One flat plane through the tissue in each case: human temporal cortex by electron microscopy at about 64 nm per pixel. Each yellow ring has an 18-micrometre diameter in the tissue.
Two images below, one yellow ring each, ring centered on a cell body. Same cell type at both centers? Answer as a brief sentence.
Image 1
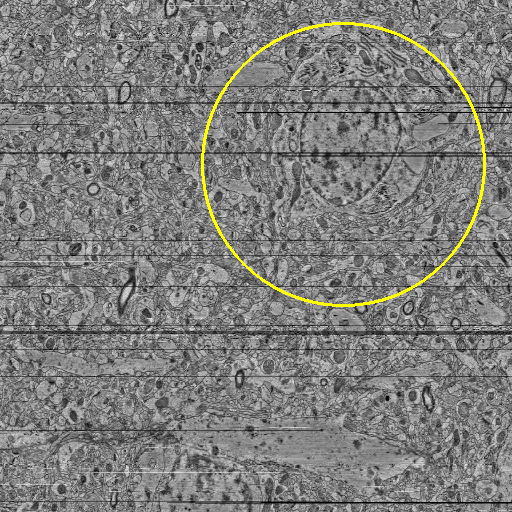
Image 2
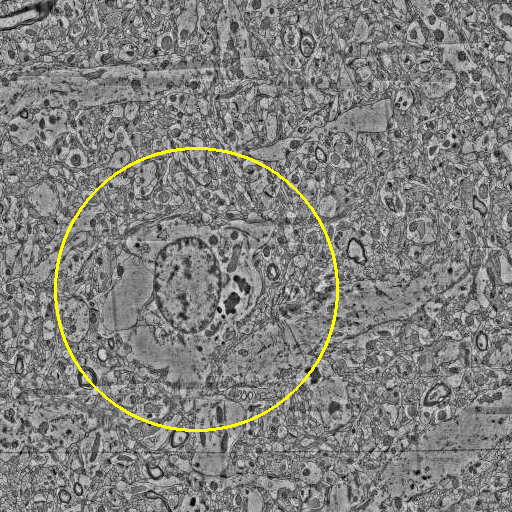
Yes, both cells are of the same type.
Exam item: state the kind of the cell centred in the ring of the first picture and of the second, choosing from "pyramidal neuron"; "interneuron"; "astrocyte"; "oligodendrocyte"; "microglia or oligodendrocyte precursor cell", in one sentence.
The first and the second cell are each an astrocyte.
